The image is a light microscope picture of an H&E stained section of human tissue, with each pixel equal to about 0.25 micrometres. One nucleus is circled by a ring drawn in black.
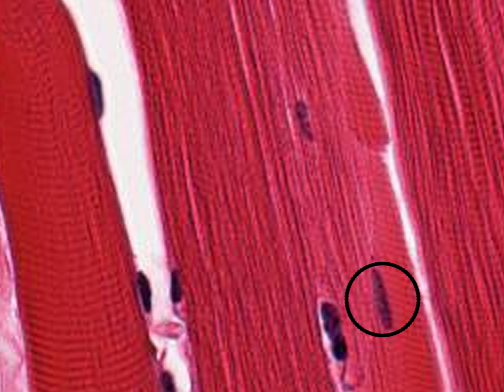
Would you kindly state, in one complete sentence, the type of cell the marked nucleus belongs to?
A nucleus of a skeletal muscle fibre is the one that is marked.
